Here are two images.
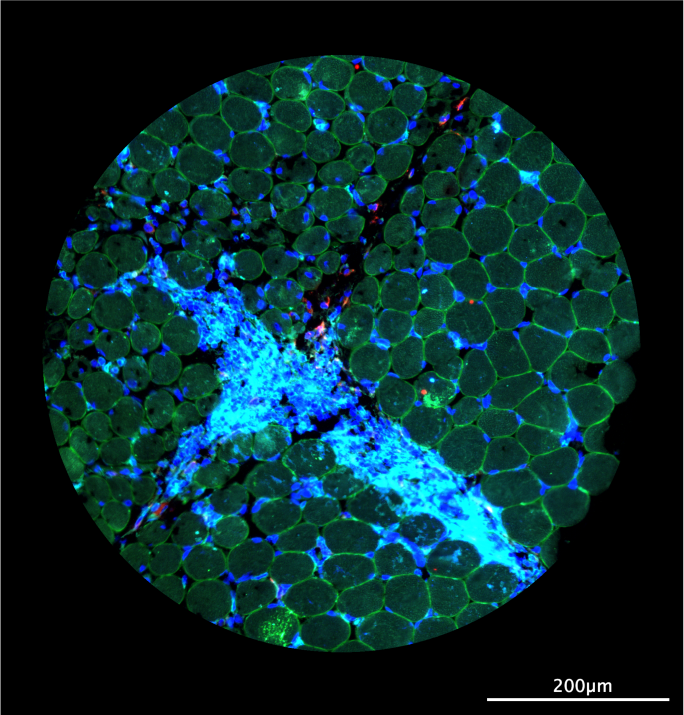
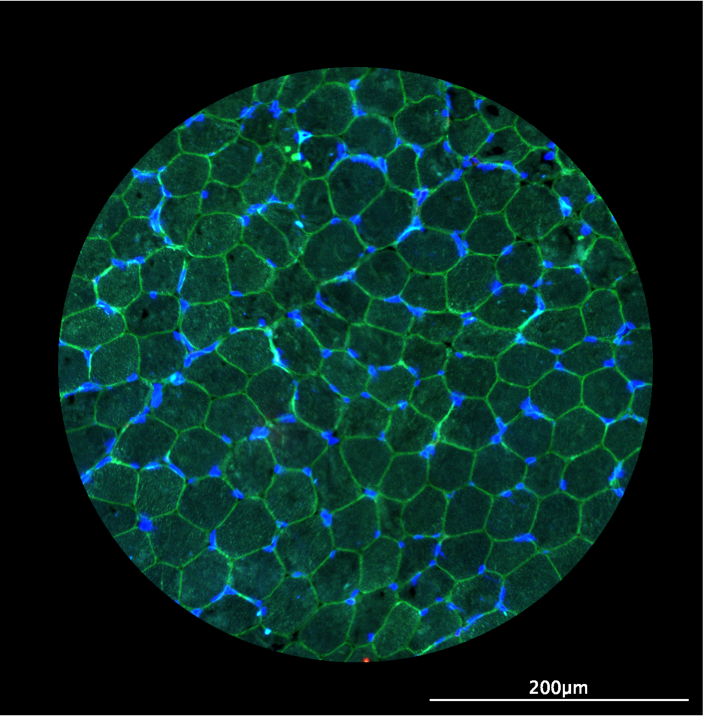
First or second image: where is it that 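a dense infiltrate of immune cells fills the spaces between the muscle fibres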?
the first image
